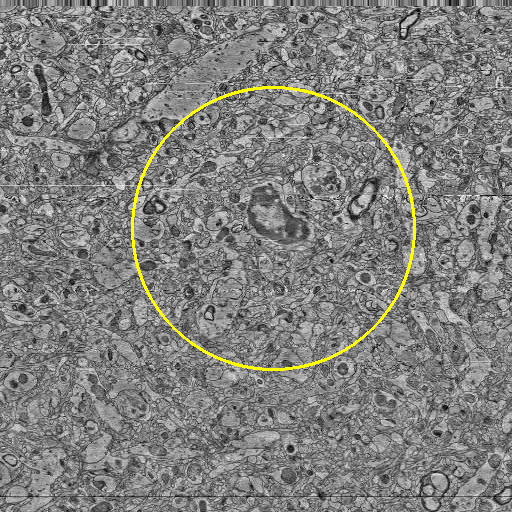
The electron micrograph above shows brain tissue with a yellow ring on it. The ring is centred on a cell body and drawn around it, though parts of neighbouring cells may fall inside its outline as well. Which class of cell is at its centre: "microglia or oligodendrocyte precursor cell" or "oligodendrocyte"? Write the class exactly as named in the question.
microglia or oligodendrocyte precursor cell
